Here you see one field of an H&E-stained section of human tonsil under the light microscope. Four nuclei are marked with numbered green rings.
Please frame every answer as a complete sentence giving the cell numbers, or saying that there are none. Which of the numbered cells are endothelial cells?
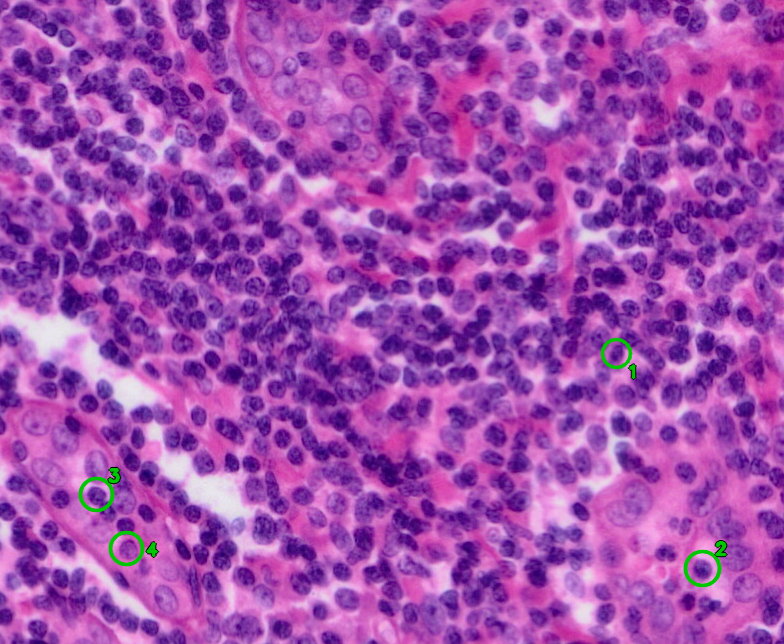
As for the cells numbered 2, 3 and 4, they are endothelial cells.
